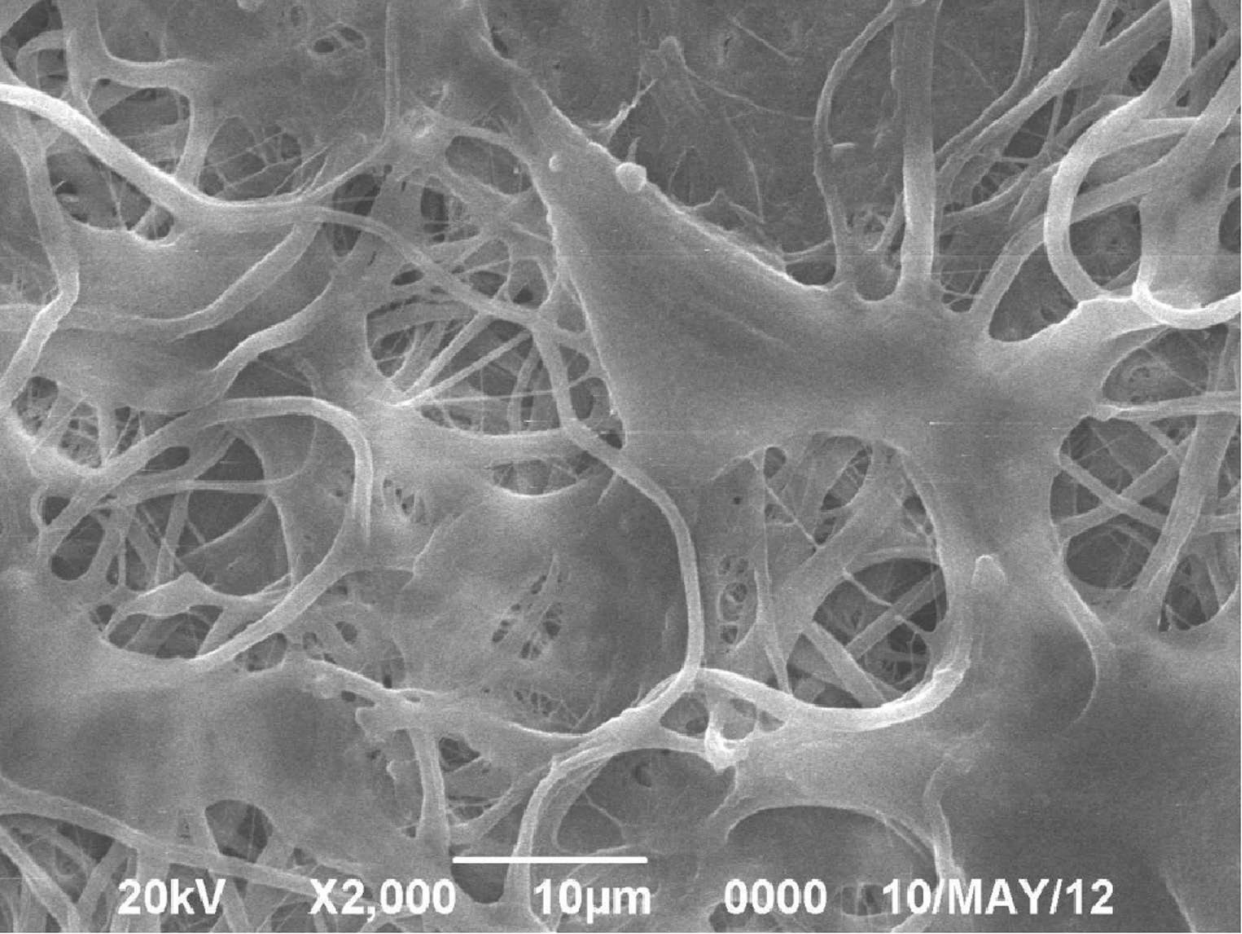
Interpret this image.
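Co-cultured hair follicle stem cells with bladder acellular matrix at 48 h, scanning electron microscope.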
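The cells are flattened and broad, with smooth surfaces, and merge into the scaffold so that their outlines are hard to tell apart. From their bodies run many long, branching processes that stretch across the gaps and wrap around and along the fibres. Very fine threads spread from the cell edges onto nearby fibres. A few small rounded blebs sit on the cell surface. Deeper layers of the fibre network show through the open spaces between the cells.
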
